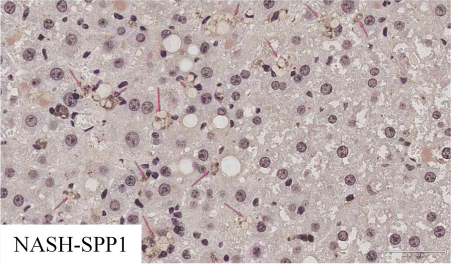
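Scattered among them are clear round vacuoles, and beside many of these lie clusters of foamy, bubbly cells carrying a stronger brown deposit; the red arrows point to these brown-stained spots. Numerous small, dark, dense nuclei lie between the hepatocytes, smaller than the hepatocyte nuclei, suggesting non-parenchymal cells crowding the lobule. The tissue looks looser and more vacuolated than healthy liver, whose hepatocytes are evenly packed around the central vein.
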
